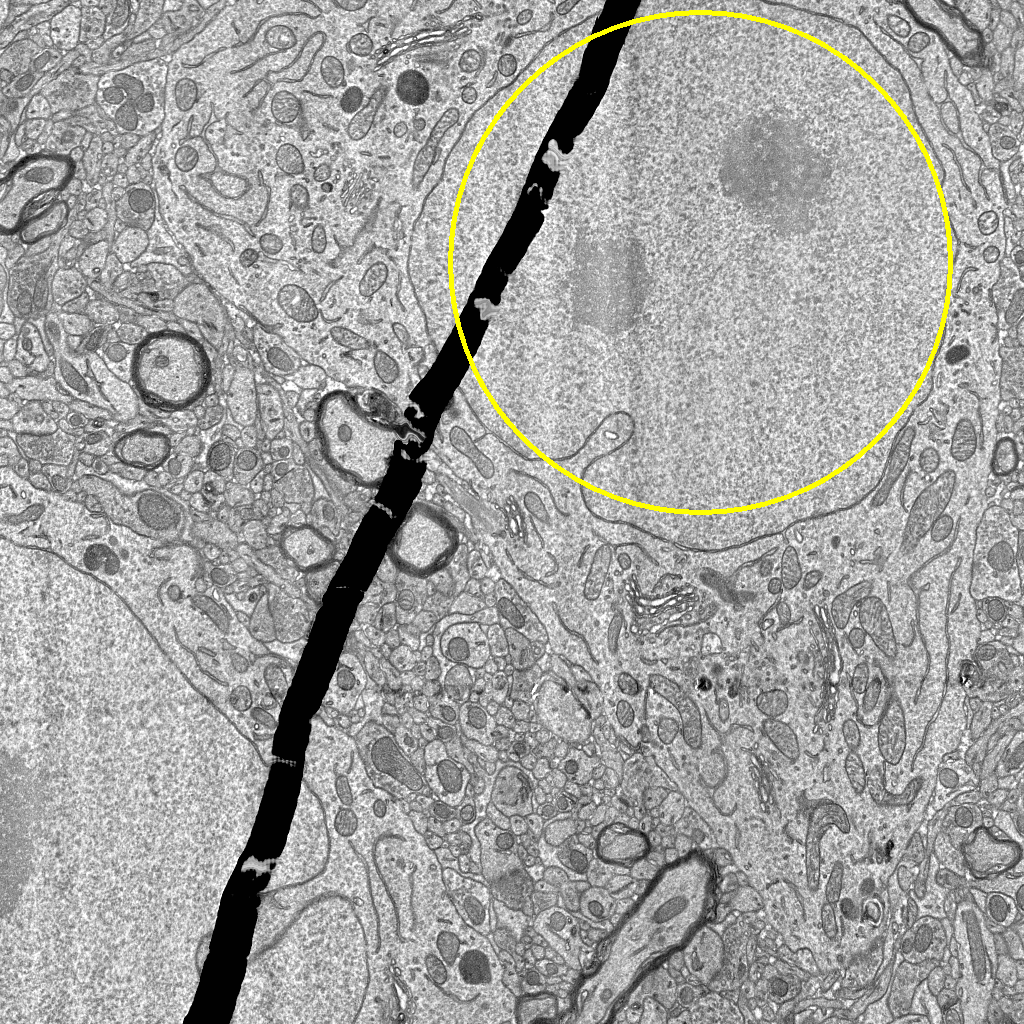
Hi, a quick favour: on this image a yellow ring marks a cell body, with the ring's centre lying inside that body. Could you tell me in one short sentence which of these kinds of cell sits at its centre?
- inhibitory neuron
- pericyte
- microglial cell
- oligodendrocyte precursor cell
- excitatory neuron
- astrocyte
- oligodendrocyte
The ring's centre lies in an inhibitory neuron.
